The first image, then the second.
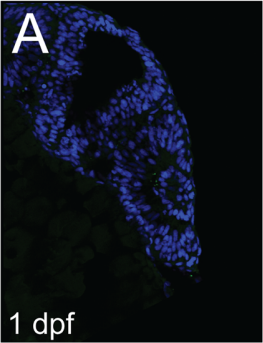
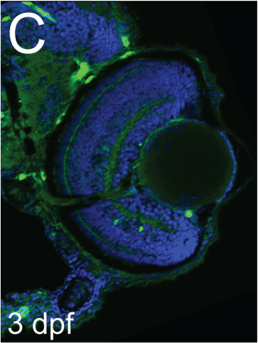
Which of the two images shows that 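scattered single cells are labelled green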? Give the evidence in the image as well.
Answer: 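Second image: a few bright green cells and a green band lie within the layered retina.
The second image.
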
